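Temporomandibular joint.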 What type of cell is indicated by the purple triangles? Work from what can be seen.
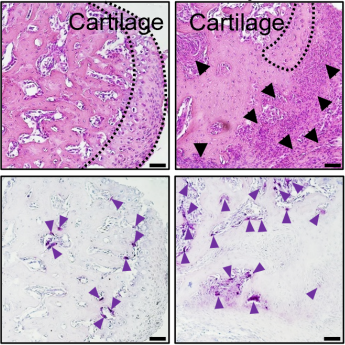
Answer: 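Osteoclasts. The purple triangles point to purple-stained cells in the lower images. The marked cells lie on bone surfaces.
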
